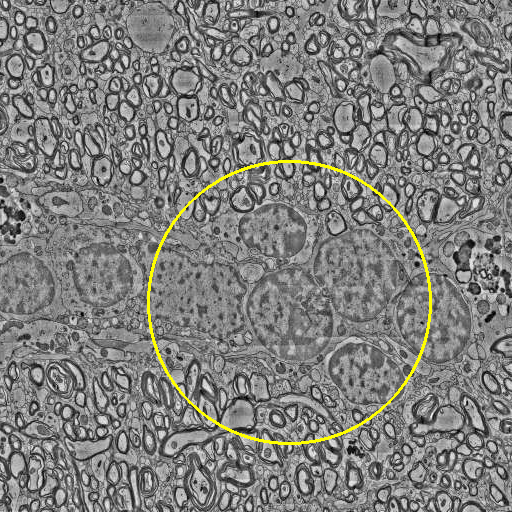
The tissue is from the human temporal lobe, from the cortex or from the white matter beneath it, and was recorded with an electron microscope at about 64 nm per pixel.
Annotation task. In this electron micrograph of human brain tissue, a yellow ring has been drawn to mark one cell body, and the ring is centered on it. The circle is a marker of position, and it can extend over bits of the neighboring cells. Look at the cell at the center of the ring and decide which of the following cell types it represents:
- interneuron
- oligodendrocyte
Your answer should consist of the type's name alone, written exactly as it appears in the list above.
oligodendrocyte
